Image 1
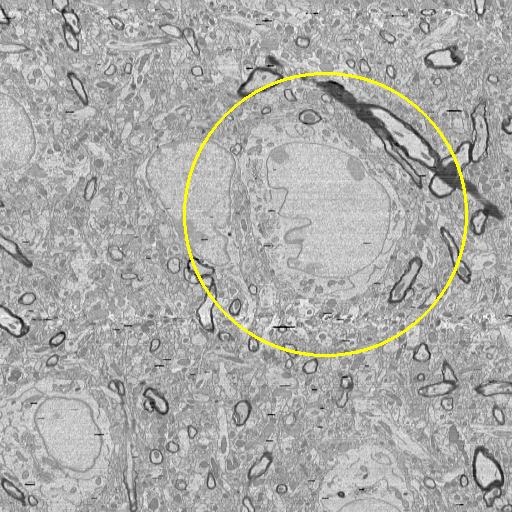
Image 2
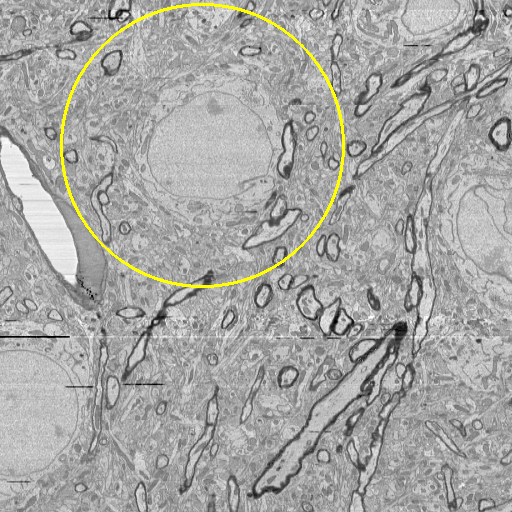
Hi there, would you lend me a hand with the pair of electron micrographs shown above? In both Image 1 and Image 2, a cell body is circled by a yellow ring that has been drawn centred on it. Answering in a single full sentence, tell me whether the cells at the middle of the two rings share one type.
Yes, the ringed cells in Image 1 and Image 2 share one type.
